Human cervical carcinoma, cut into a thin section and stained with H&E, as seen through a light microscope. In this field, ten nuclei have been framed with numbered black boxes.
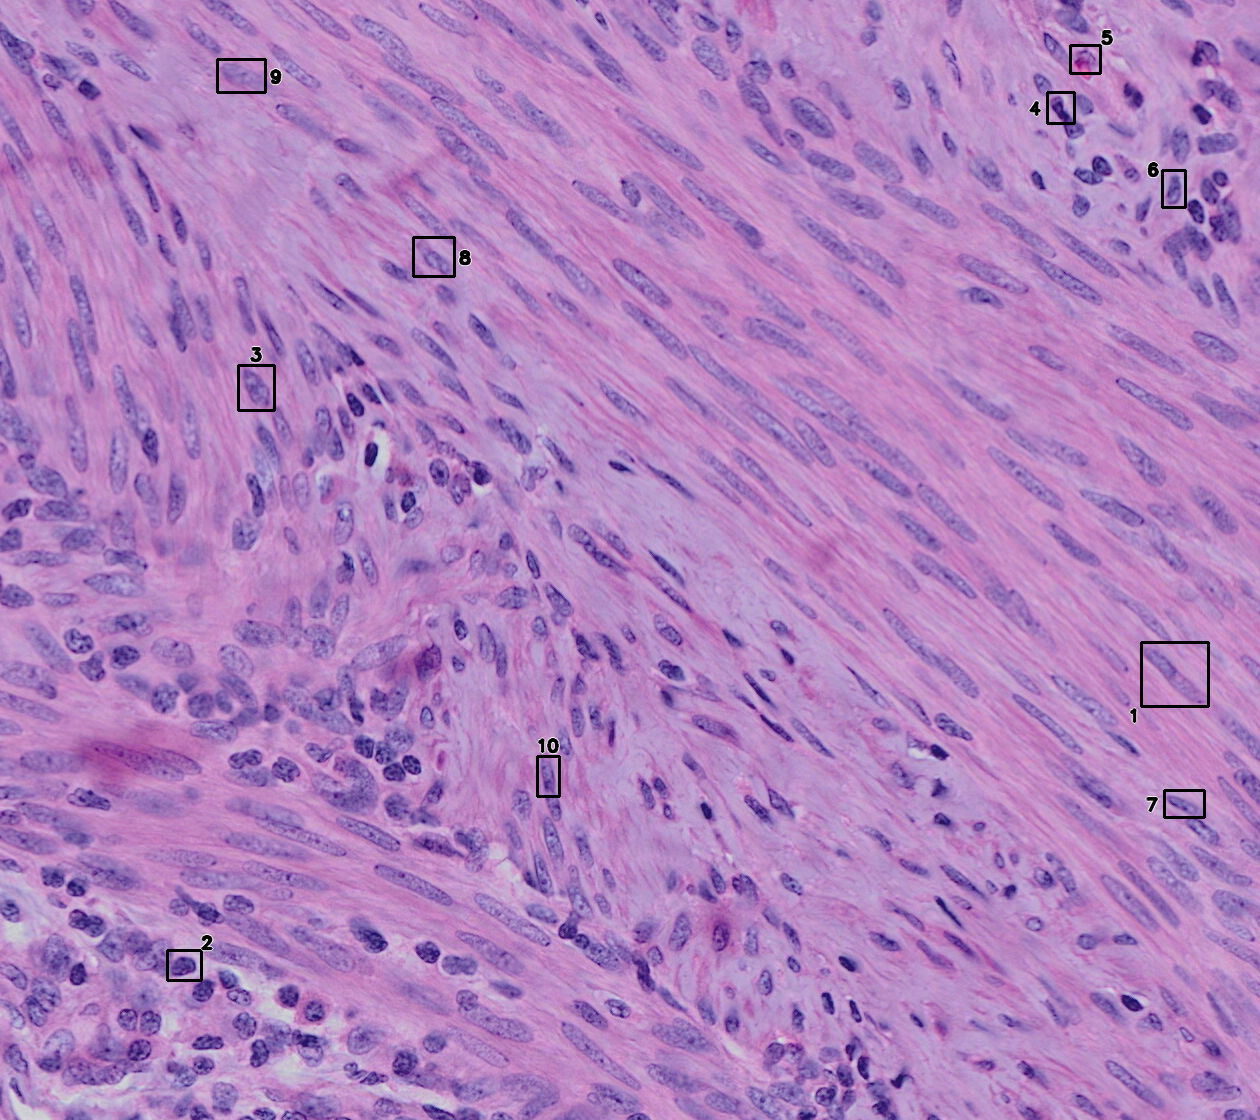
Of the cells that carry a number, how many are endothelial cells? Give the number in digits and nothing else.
1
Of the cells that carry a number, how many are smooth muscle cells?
6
